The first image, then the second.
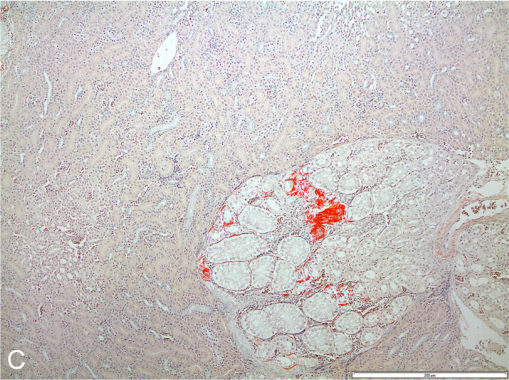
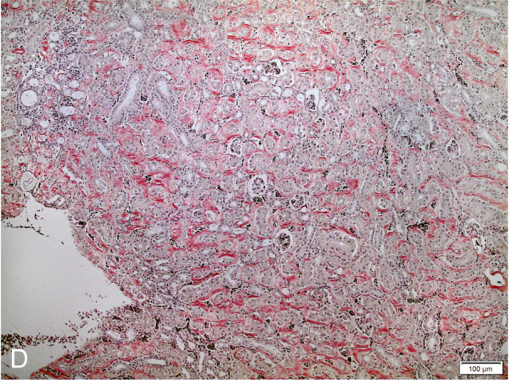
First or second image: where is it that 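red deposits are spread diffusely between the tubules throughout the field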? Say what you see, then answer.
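Second image: red material lies between tubules across most of the field.
Answer: the second image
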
